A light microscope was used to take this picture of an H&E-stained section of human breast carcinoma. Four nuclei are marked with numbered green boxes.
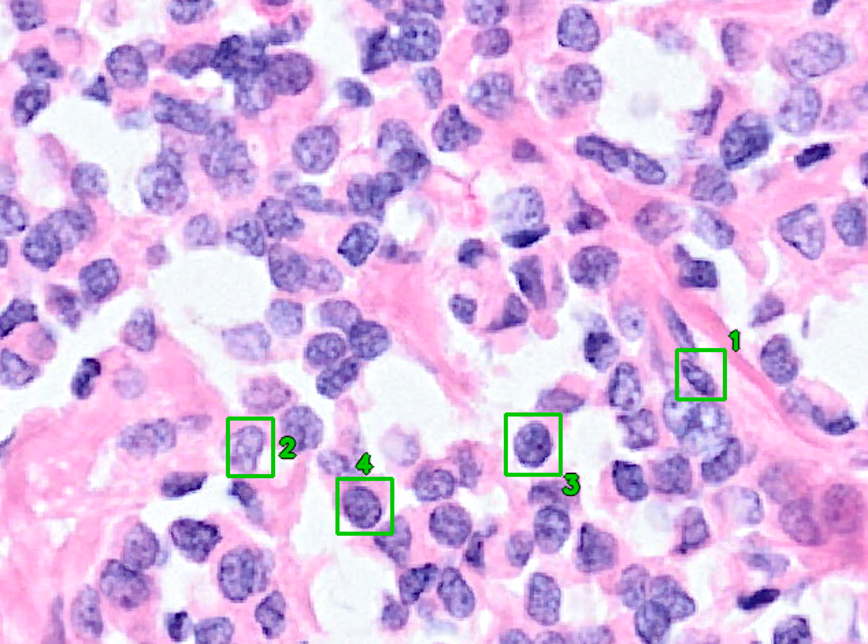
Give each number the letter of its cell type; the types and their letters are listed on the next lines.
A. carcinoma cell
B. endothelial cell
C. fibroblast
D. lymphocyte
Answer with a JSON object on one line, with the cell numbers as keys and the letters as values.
{"1": "B", "2": "A", "3": "A", "4": "A"}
